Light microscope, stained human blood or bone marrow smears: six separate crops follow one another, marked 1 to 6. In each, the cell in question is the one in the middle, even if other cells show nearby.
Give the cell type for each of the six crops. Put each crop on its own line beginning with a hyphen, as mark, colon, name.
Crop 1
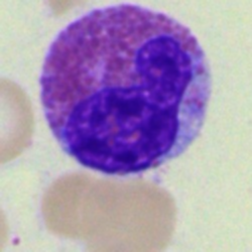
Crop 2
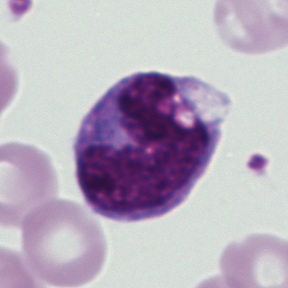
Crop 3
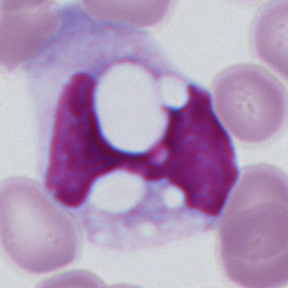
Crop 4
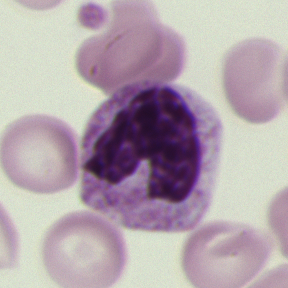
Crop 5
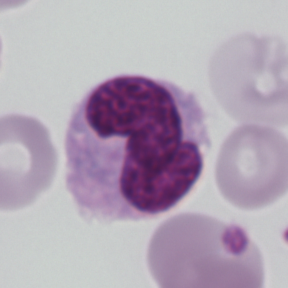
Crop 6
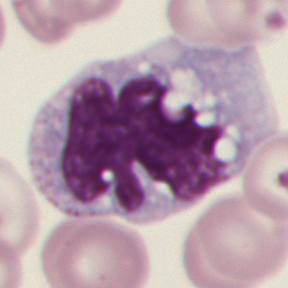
- 1: eosinophil
- 2: monocyte
- 3: monocyte
- 4: band neutrophil
- 5: band neutrophil
- 6: monocyte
